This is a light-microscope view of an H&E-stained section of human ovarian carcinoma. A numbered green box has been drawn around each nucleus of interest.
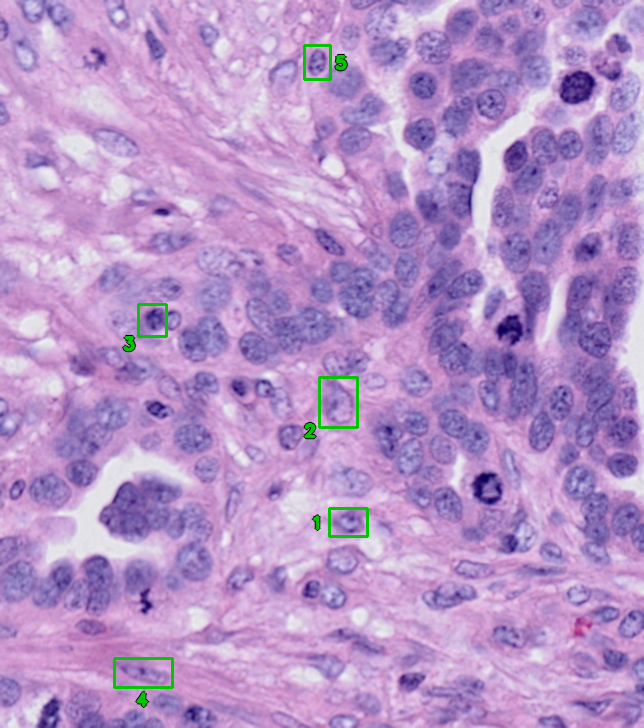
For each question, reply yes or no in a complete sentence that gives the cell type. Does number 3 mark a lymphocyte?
Yes, the cell with number 3 is a lymphocyte.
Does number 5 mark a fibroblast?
No, cell 5 is to be classed as a macrophage or monocyte, not a fibroblast.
